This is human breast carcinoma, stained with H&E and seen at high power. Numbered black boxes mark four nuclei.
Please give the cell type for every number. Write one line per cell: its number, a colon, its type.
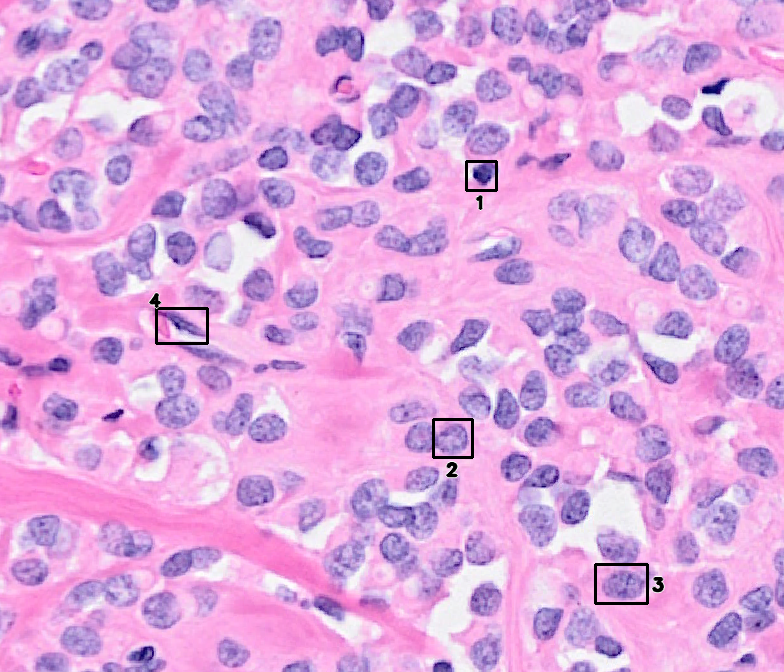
1: lymphocyte
2: carcinoma cell
3: carcinoma cell
4: endothelial cell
